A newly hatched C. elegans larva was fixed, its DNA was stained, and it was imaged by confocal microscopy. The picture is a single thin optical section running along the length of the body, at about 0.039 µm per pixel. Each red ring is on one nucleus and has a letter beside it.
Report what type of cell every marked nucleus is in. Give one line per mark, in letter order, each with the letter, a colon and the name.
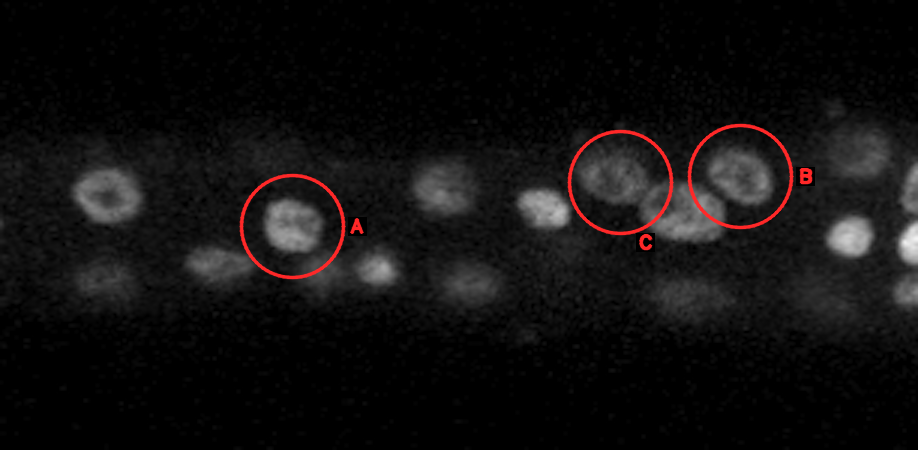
A: P cell (ventral epidermal blast cell)
B: hypodermal cell (hyp)
C: hypodermal cell (hyp)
